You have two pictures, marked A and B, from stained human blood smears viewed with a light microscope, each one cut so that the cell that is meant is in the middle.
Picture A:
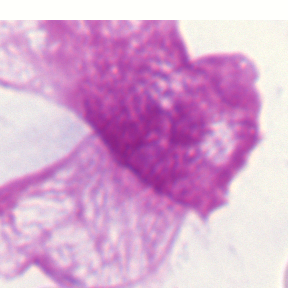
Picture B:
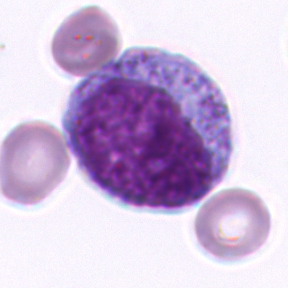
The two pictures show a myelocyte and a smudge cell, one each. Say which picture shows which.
A: smudge cell
B: myelocyte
